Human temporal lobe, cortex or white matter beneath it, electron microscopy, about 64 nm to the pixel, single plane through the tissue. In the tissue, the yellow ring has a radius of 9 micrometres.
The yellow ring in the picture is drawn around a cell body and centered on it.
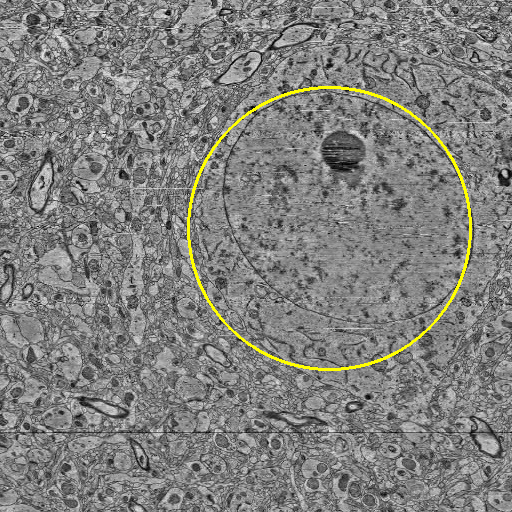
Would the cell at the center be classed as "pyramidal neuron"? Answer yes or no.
Yes, it belongs to that class.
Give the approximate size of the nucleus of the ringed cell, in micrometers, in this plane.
About 17 by 14 micrometres in this plane.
